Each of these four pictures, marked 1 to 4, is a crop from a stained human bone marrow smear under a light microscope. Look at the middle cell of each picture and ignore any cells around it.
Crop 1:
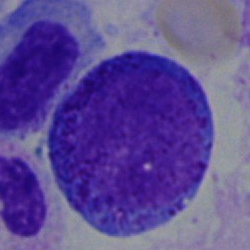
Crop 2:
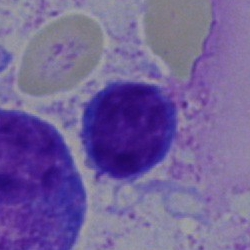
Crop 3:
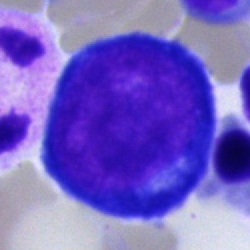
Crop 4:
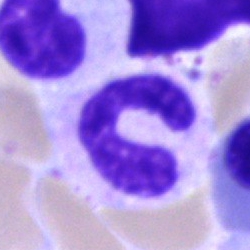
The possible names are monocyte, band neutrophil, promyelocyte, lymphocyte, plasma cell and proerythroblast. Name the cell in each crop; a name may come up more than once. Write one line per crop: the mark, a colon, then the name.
1: promyelocyte
2: lymphocyte
3: proerythroblast
4: band neutrophil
